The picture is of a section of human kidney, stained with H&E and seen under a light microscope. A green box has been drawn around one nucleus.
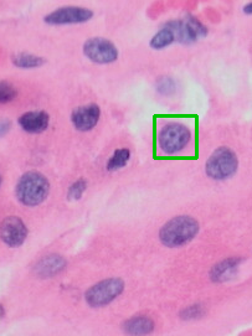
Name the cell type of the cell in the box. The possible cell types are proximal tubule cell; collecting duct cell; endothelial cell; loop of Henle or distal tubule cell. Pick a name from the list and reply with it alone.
loop of Henle or distal tubule cell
